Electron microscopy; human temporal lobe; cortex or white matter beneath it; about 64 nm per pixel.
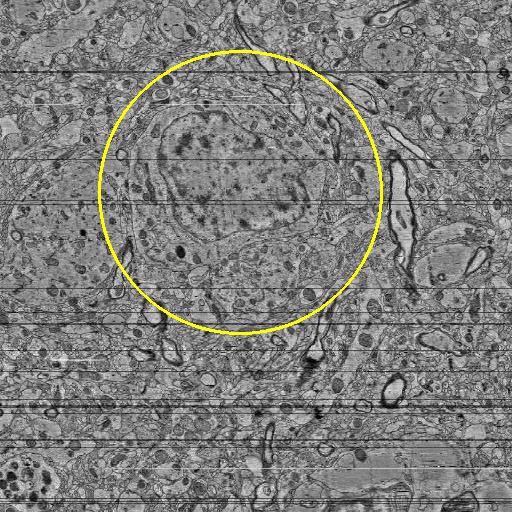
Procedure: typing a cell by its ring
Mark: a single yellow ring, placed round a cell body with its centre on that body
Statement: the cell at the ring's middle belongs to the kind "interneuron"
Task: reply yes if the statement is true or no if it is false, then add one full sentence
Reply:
Yes, this is true: the cell at the ring's centre in the picture belongs to that kind.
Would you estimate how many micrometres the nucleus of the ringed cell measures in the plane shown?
The nucleus has a long axis of about 10 micrometres and a short axis of about 7 micrometres in this plane.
